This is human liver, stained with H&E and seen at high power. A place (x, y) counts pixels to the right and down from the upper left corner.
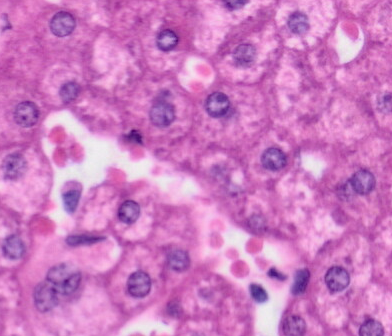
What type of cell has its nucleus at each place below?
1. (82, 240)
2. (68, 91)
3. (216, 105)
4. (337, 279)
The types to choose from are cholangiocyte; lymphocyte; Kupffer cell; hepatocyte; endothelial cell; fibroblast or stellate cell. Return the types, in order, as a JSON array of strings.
["Kupffer cell", "hepatocyte", "hepatocyte", "hepatocyte"]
